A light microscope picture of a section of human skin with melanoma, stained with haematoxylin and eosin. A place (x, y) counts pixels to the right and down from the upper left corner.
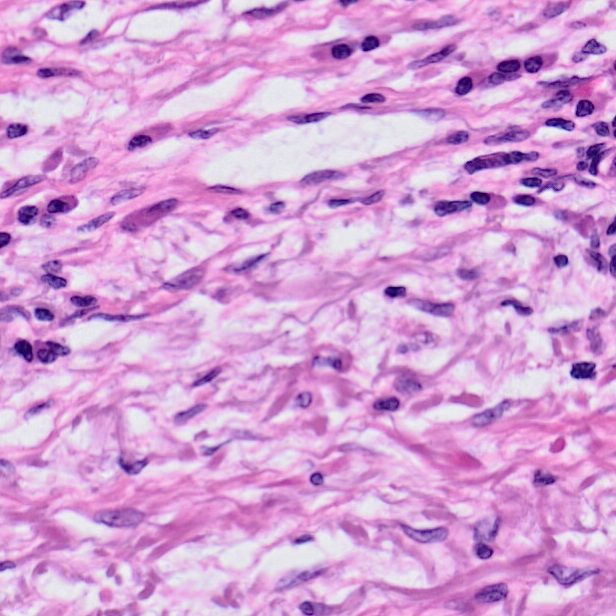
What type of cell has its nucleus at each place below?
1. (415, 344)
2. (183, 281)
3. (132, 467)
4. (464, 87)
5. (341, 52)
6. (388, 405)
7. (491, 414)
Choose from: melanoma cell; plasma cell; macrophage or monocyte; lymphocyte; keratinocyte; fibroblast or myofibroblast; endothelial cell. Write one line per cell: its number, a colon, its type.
1: fibroblast or myofibroblast
2: fibroblast or myofibroblast
3: fibroblast or myofibroblast
4: plasma cell
5: plasma cell
6: macrophage or monocyte
7: fibroblast or myofibroblast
